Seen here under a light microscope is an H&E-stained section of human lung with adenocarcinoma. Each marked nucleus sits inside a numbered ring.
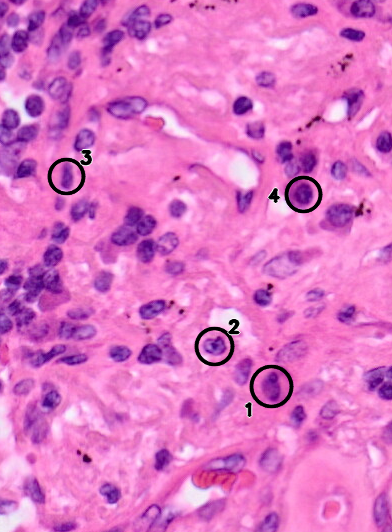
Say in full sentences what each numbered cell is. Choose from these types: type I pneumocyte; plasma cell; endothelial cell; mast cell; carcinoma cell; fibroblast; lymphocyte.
Cells 1 and 4 are plasma cells. Cells 2 and 3 are lymphocytes.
